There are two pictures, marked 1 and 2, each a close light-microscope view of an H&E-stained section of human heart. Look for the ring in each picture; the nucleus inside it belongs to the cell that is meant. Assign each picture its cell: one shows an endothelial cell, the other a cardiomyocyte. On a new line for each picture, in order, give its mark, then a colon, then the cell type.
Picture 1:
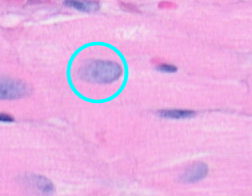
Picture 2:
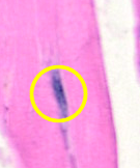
1: cardiomyocyte
2: endothelial cell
